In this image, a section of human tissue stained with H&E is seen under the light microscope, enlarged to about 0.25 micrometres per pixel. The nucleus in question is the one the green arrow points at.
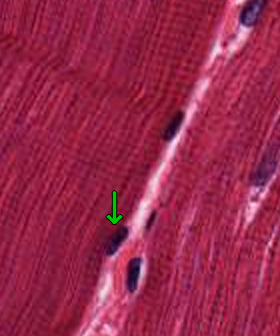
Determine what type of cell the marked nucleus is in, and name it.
skeletal muscle fibre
